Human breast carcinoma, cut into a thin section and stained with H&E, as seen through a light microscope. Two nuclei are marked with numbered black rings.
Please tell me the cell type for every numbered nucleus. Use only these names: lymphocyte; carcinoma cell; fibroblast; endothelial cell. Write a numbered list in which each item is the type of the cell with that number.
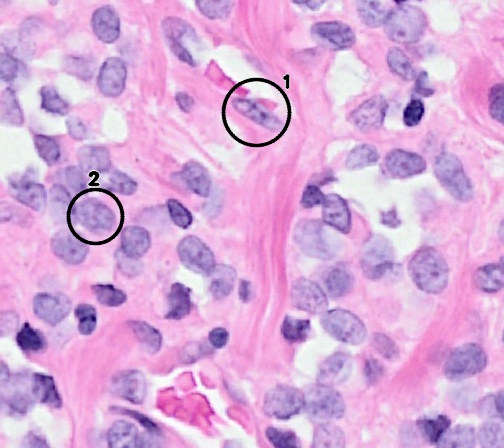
1. endothelial cell
2. carcinoma cell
